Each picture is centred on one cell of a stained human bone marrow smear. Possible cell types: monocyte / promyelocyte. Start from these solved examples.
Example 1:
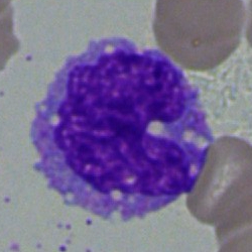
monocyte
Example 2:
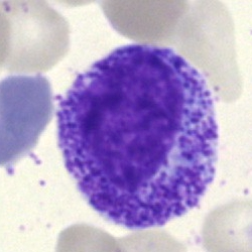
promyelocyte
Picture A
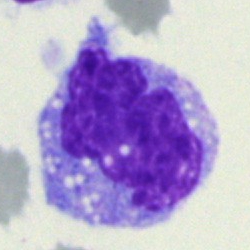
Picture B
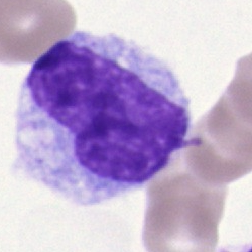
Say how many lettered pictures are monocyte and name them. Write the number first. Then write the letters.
2, namely A, B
